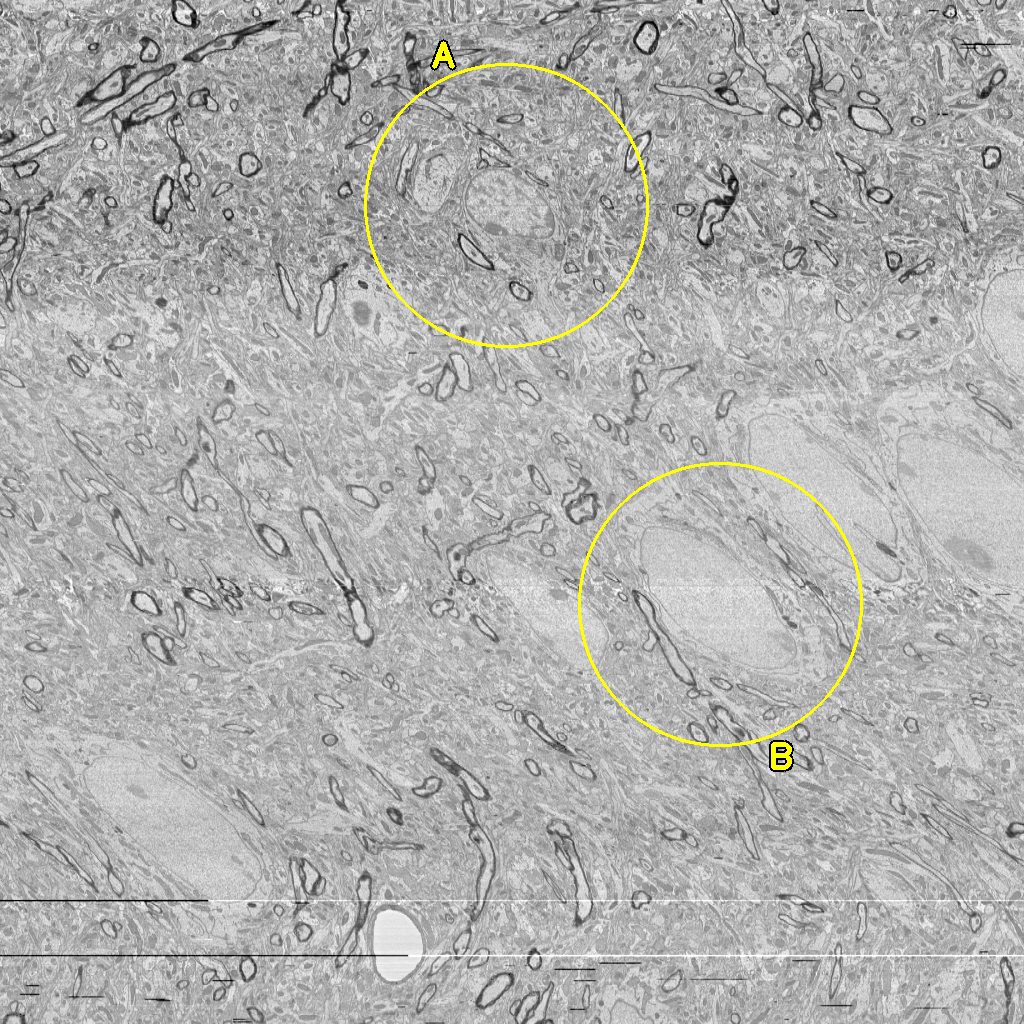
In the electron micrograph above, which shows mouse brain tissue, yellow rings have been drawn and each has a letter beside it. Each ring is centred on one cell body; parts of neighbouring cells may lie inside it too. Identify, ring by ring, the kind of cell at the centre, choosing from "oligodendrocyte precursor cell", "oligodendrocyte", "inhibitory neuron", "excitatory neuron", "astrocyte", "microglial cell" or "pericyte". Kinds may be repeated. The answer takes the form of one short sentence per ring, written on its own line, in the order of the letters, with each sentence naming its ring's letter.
Inside ring A, at its centre, is an oligodendrocyte.
Inside ring B, at its centre, is an excitatory neuron.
